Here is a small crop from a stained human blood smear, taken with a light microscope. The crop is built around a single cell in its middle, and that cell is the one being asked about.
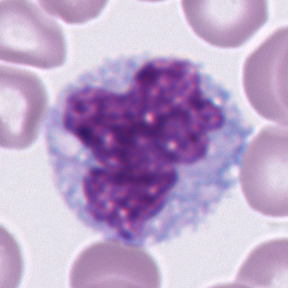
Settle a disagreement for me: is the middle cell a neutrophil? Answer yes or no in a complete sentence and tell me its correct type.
No, rather than being a neutrophil, the central cell is a monocyte.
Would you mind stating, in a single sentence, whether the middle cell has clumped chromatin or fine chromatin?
Its chromatin is finely dispersed rather than coarsely clumped.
